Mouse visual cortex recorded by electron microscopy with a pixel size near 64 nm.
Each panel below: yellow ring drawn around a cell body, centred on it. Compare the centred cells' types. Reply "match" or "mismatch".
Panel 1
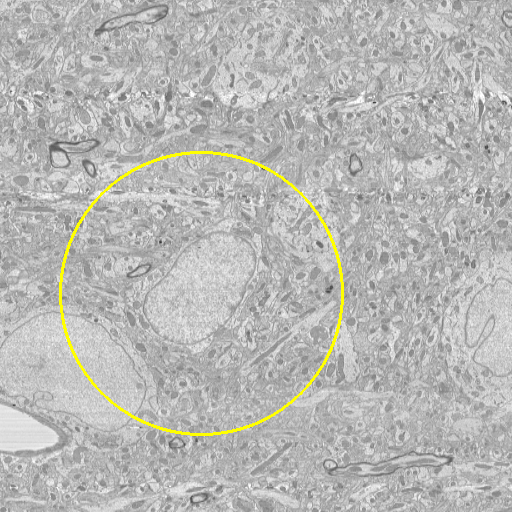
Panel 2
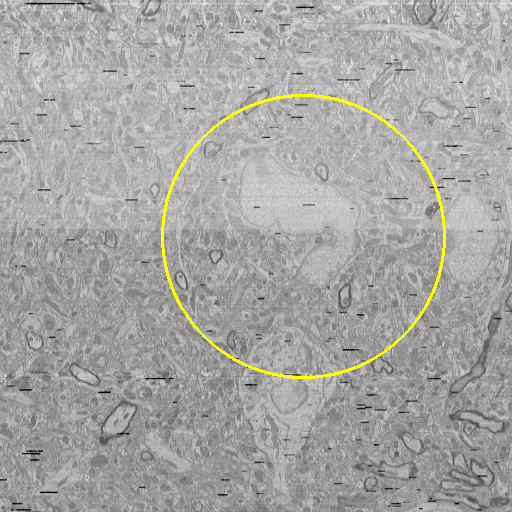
match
